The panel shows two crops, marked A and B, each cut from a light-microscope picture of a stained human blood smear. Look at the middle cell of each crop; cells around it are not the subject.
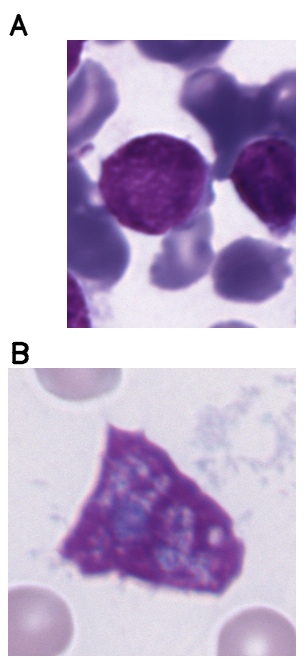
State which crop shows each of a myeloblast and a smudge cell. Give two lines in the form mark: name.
A: myeloblast
B: smudge cell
